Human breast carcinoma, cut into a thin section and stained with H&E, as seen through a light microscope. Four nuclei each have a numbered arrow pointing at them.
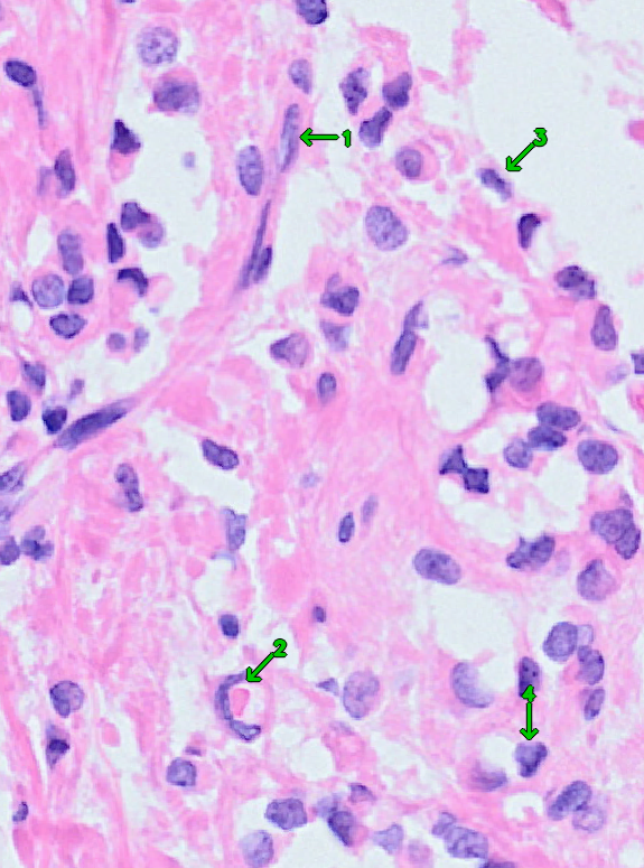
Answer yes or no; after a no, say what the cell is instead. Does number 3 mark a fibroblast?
Yes.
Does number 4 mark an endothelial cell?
No, it is a carcinoma cell.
